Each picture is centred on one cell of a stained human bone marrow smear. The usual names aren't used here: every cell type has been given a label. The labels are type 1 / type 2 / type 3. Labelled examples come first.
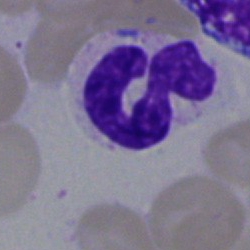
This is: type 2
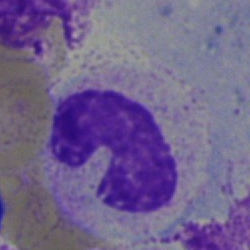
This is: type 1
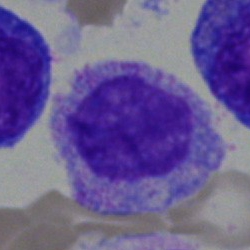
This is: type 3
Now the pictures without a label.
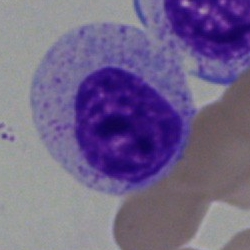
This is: type 3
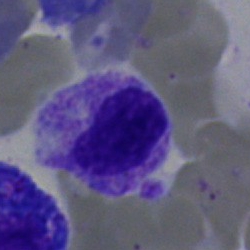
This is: type 3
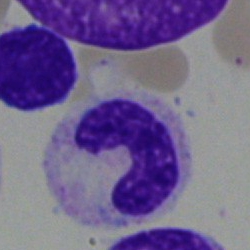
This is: type 1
